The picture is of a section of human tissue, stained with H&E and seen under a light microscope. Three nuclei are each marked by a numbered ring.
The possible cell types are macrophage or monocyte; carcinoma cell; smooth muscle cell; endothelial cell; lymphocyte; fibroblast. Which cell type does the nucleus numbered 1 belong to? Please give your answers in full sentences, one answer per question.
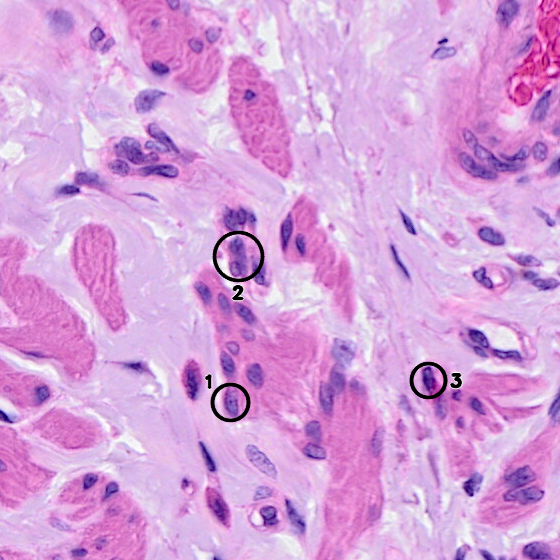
The label 1 in this section denotes a smooth muscle cell.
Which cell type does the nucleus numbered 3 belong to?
The expected answer is that cell 3 is an endothelial cell.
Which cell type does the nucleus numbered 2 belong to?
The nucleus labeled 2 belongs to an endothelial cell.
